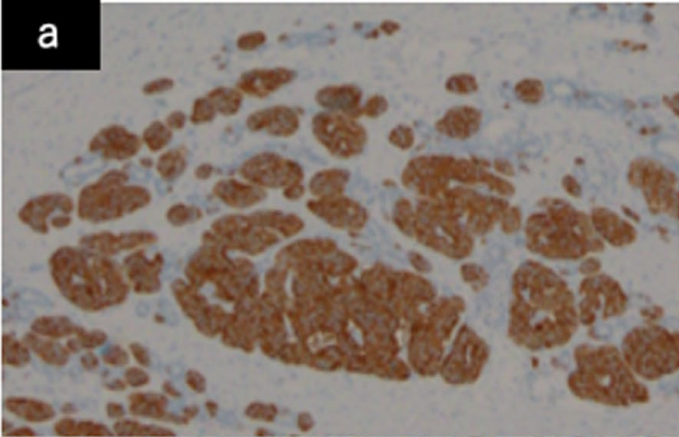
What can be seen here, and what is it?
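Many rounded nests and islands of tumor cells, from small clusters to a large lobulated aggregate, lie scattered in a loose pale blue stroma. Within the nests the cells are packed closely, and their cytoplasm is stained a uniform, diffuse brown, so individual nuclei are barely distinguishable. The stroma between the nests, with a few small vessels, stays unstained.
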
